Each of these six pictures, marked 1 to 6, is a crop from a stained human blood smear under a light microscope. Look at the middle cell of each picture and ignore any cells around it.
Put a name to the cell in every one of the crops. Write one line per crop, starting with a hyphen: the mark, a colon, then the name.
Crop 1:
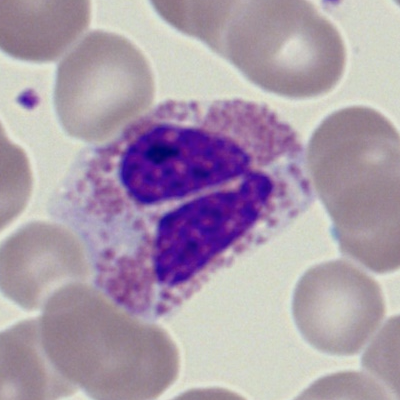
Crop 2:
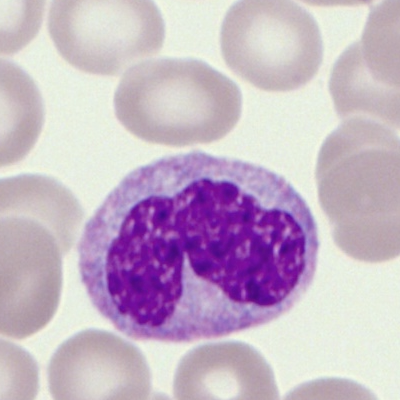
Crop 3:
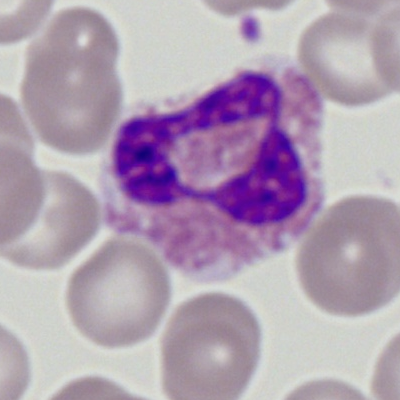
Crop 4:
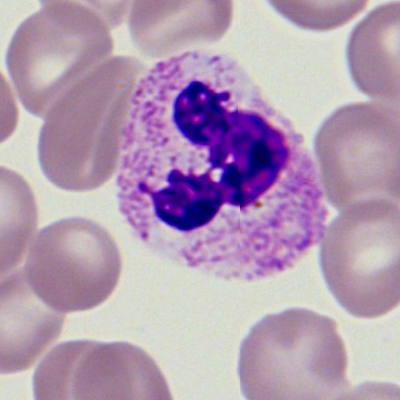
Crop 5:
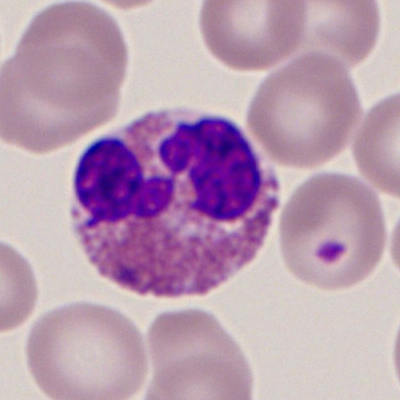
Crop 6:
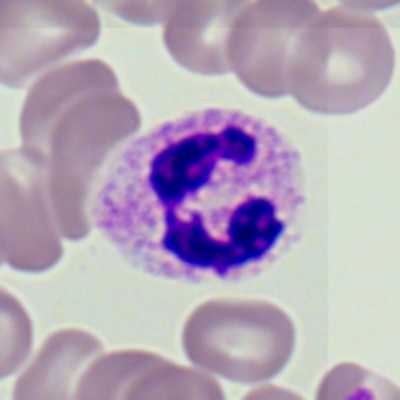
- 1: eosinophil
- 2: monocyte
- 3: eosinophil
- 4: neutrophil
- 5: eosinophil
- 6: neutrophil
